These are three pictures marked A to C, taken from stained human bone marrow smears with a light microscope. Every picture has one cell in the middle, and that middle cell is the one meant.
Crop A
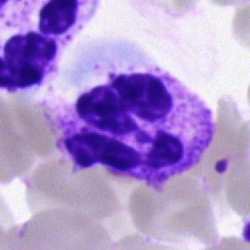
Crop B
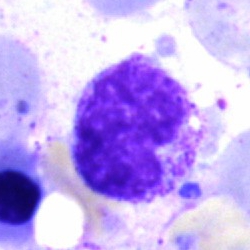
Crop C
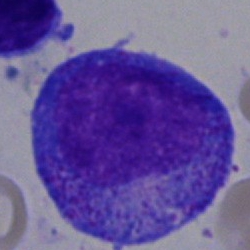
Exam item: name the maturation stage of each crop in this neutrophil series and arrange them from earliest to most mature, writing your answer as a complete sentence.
Ranked in ascending maturity, the crops are crop C (a promyelocyte), crop B (a metamyelocyte) and crop A (a segmented neutrophil).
